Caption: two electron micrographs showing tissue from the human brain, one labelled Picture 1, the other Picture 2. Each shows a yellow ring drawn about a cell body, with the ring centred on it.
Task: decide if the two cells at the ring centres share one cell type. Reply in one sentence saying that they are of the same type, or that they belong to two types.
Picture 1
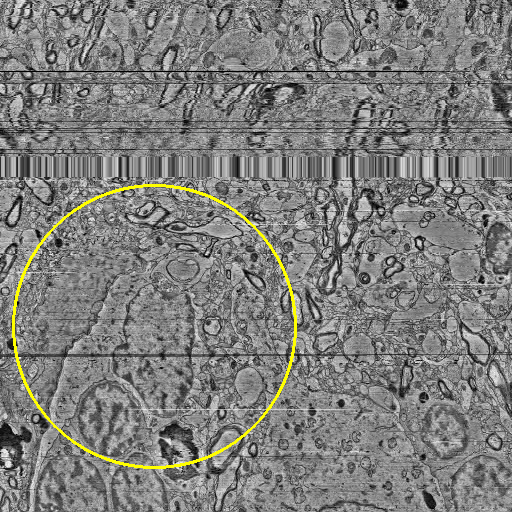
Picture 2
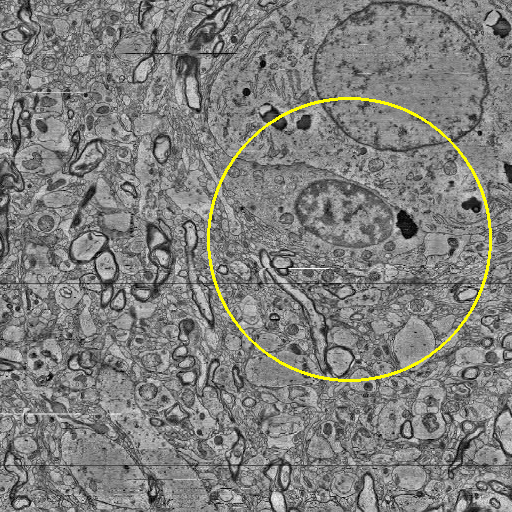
The cells at the ring centres in Picture 1 and Picture 2 belong to two types.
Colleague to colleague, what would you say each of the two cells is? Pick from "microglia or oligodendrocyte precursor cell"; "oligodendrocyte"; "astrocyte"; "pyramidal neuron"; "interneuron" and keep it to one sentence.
The cell in the first picture is a microglial cell or oligodendrocyte precursor cell; the second picture's cell is an oligodendrocyte.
